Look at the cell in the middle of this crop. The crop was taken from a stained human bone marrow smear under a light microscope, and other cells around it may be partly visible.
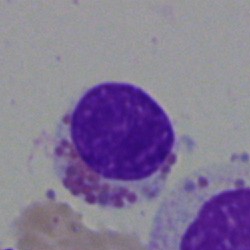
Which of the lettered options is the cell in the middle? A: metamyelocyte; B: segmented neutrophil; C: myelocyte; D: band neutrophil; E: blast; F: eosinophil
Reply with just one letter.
F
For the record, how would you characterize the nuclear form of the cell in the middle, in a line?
A single compact nucleus, round, oval or kidney-shaped, is what this cell shows.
